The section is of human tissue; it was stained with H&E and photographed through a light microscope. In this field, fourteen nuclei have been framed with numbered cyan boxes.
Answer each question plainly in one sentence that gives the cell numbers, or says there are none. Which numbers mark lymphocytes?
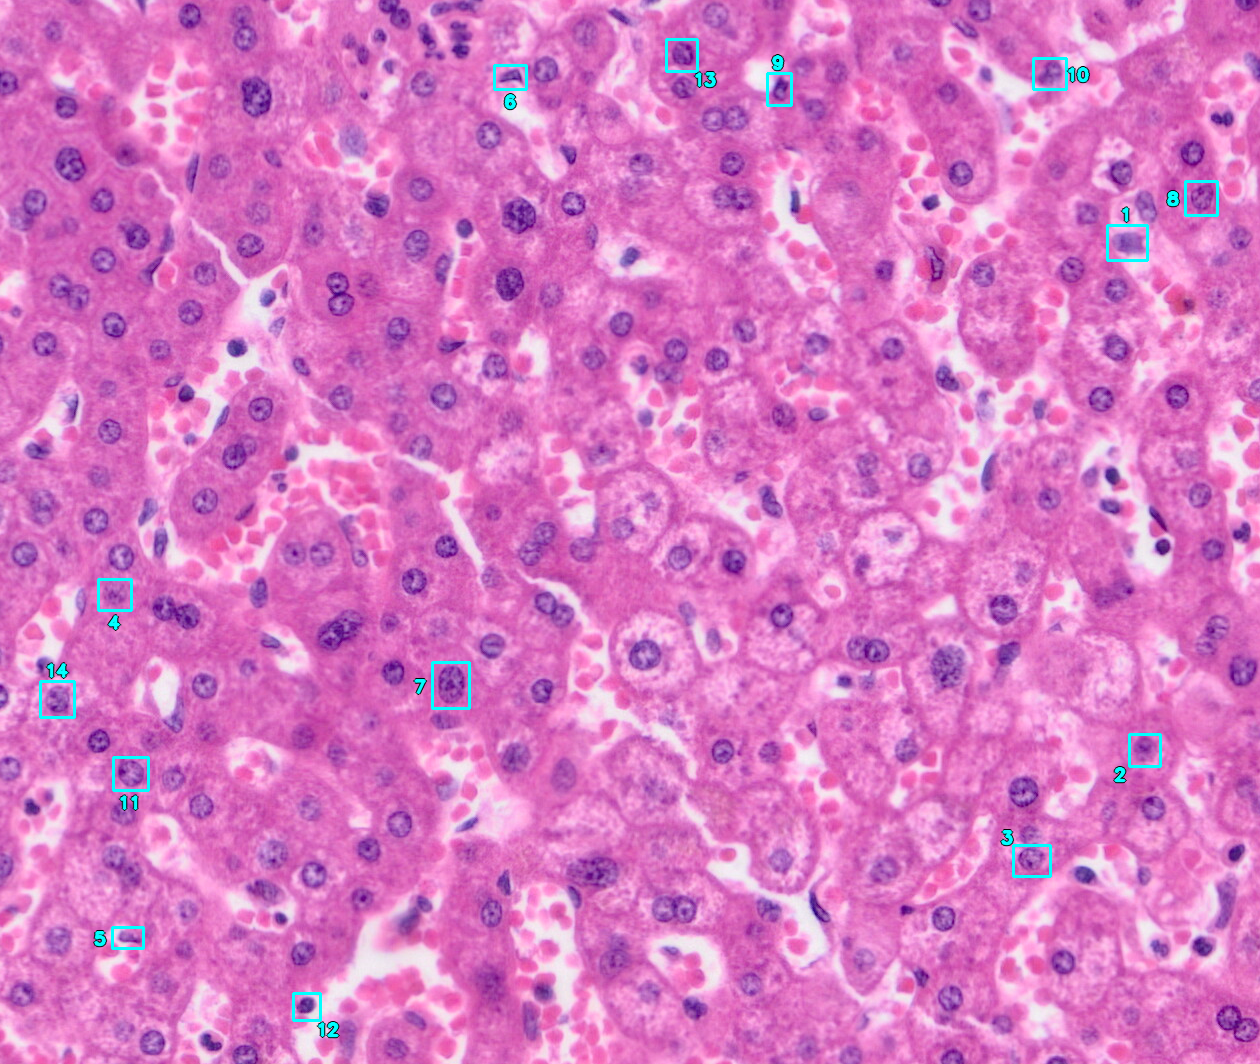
Only cell 12 is a lymphocyte; none of the other numbered cells is.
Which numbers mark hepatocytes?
The cells with the numbers 2, 3, 4, 7, 8, 11, 13 and 14 are hepatocytes.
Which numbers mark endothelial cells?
The cells given the numbers 1, 5 and 6 are endothelial cells.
